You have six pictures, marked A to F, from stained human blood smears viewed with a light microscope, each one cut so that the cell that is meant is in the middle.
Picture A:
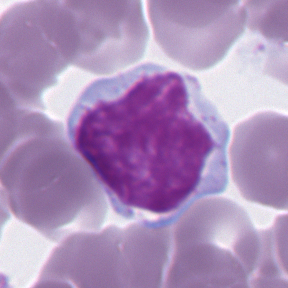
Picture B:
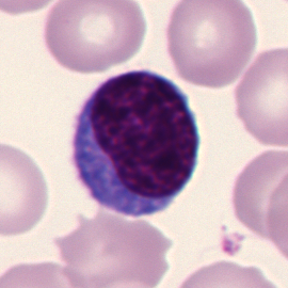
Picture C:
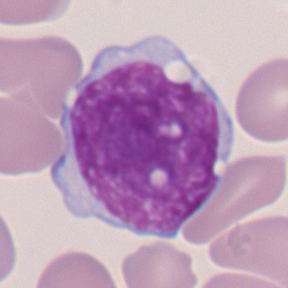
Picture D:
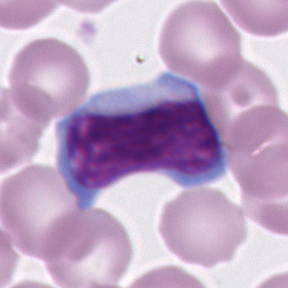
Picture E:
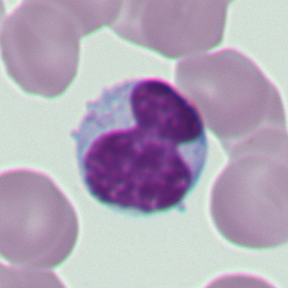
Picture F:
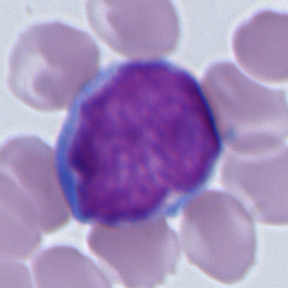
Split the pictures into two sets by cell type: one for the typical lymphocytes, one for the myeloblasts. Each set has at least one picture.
A: typical lymphocyte
B: typical lymphocyte
C: myeloblast
D: typical lymphocyte
E: typical lymphocyte
F: myeloblast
